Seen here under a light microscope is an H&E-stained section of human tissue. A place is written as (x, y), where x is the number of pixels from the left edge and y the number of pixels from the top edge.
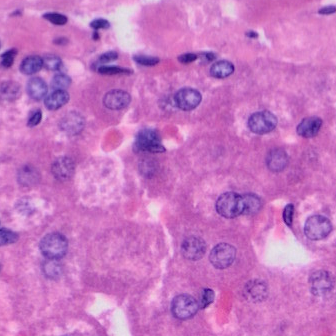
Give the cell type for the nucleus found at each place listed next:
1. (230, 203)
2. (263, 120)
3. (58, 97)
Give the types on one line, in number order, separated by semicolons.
hepatocyte; hepatocyte; cholangiocyte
